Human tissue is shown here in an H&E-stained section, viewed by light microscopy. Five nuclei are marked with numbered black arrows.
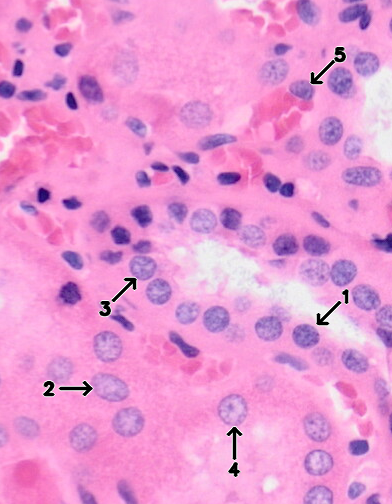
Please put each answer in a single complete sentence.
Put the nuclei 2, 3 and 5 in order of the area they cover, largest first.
From largest to smallest, the order is 2, 3, 5.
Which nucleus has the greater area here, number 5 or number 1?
It is nucleus 1, which covers about 1.5 times the area of nucleus 5.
